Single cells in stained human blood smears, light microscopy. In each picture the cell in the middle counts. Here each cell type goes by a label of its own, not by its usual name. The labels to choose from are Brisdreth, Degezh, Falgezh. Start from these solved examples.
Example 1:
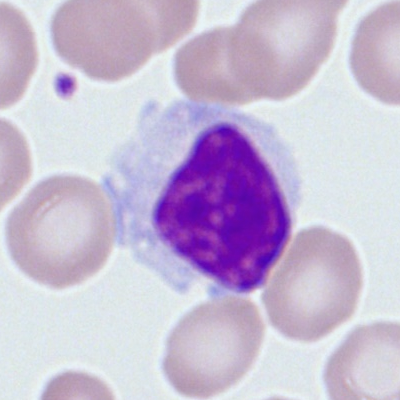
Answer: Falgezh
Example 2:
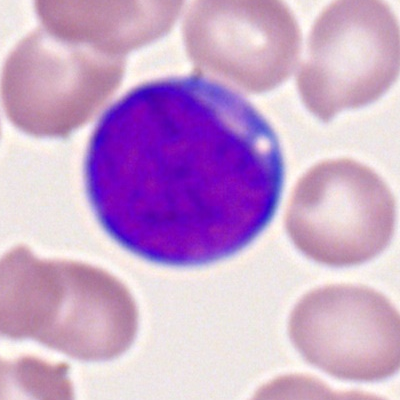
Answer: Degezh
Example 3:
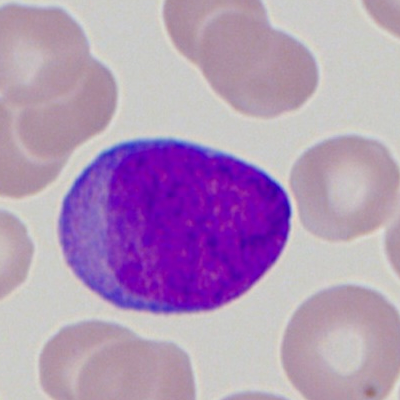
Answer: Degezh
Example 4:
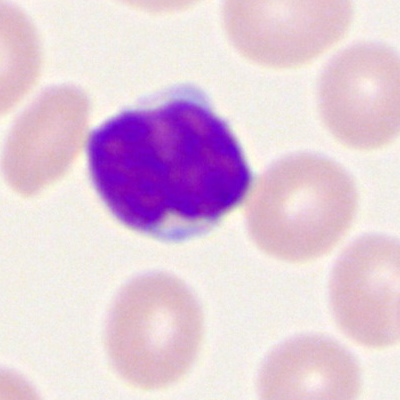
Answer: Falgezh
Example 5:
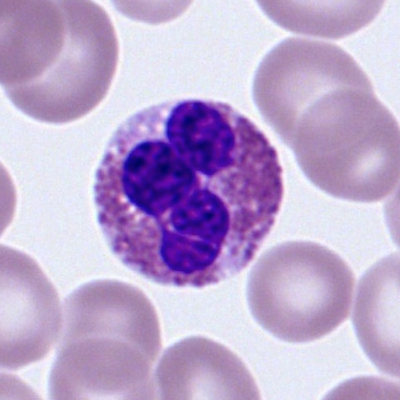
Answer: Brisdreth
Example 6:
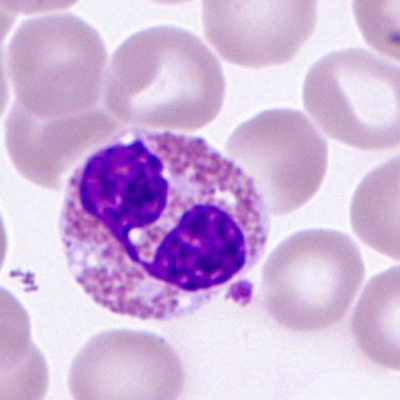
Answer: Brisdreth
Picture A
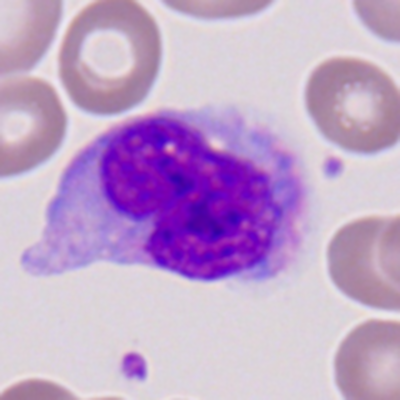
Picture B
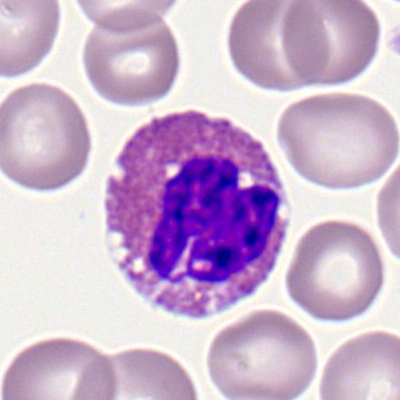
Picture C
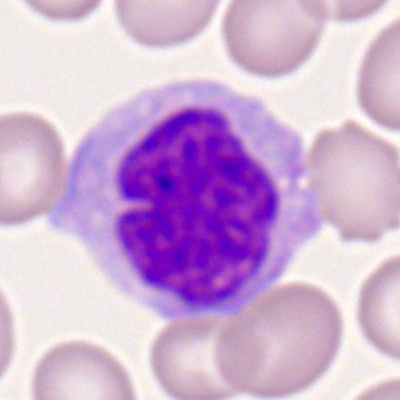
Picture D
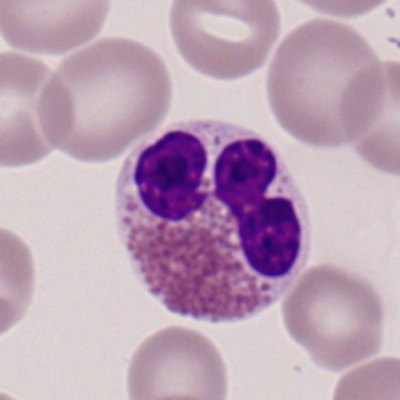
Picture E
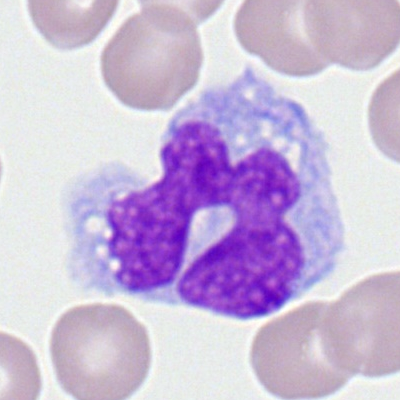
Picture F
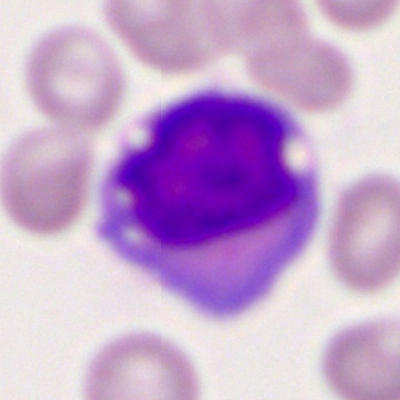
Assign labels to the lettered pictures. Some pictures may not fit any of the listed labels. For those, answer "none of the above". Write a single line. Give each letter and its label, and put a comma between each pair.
A none of the above, B Brisdreth, C none of the above, D Brisdreth, E none of the above, F Degezh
